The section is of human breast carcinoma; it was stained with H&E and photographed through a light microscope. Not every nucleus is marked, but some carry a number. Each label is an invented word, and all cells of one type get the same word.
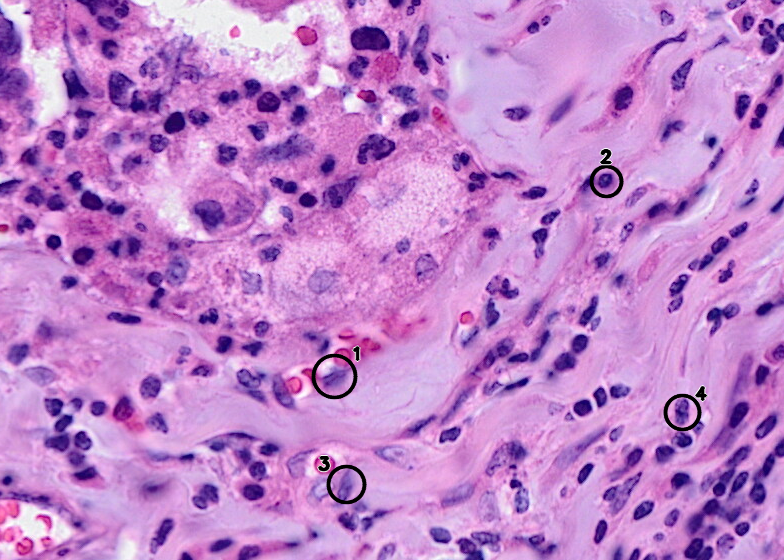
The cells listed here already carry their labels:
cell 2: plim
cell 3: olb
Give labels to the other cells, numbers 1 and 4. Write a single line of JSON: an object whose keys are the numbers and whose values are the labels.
{"1": "olb", "4": "plim"}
